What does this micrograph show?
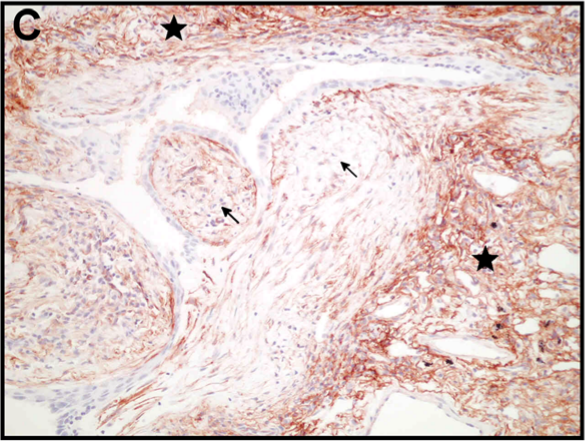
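Fibrotic lung tissue with fibroblastic foci set in denser scarring. The foci are rounded to oval nodules of loosely arranged spindle-shaped cells with elongated blue nuclei lying in a pale, somewhat myxoid matrix; they stain only faintly brown. Thin linings of cells with blue nuclei cover their surfaces where they face small spaces. Small slit-like and rounded spaces are scattered through the scar.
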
